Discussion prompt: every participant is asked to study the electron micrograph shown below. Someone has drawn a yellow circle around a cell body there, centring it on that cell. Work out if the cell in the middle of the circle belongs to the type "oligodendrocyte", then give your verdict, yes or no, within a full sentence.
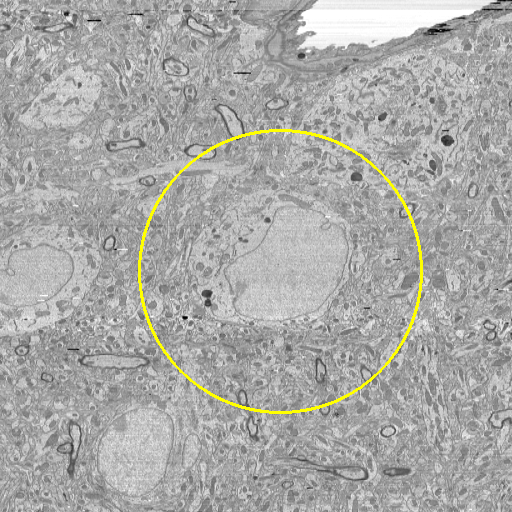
No, my verdict is that the cell in the circle's centre is of a different type.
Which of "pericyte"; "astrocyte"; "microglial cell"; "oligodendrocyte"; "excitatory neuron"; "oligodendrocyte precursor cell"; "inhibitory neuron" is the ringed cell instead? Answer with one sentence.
The ringed cell in this picture is, instead, an excitatory neuron.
